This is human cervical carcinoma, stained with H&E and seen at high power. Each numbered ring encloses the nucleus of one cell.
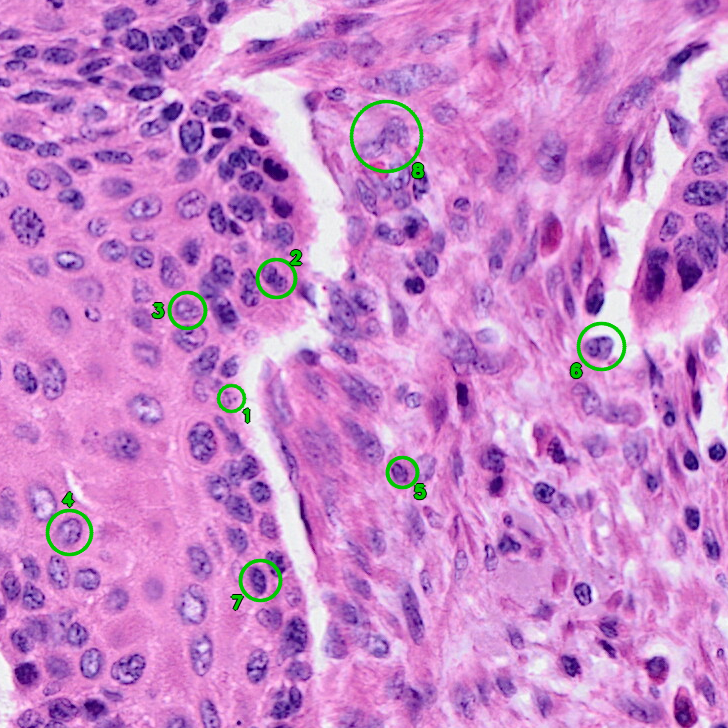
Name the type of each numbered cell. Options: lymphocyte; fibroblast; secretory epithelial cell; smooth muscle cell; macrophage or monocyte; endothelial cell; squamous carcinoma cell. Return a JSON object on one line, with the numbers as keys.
{"1": "squamous carcinoma cell", "2": "squamous carcinoma cell", "3": "squamous carcinoma cell", "4": "squamous carcinoma cell", "5": "macrophage or monocyte", "6": "macrophage or monocyte", "7": "squamous carcinoma cell", "8": "endothelial cell"}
